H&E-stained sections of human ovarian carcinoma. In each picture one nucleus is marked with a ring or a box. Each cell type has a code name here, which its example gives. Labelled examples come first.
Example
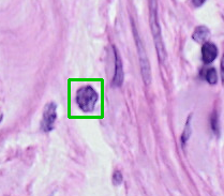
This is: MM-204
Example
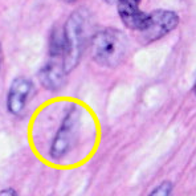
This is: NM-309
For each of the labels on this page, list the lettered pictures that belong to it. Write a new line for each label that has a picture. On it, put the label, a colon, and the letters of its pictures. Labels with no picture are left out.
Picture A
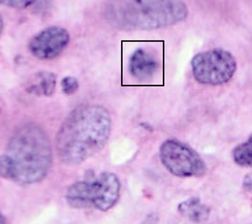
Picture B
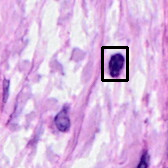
MM-204: A, B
